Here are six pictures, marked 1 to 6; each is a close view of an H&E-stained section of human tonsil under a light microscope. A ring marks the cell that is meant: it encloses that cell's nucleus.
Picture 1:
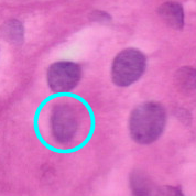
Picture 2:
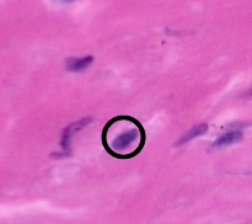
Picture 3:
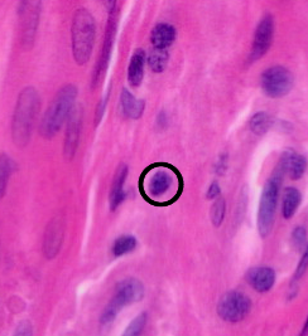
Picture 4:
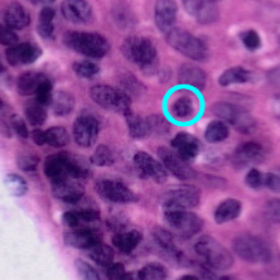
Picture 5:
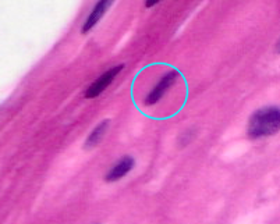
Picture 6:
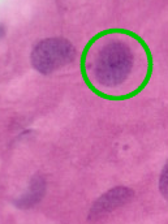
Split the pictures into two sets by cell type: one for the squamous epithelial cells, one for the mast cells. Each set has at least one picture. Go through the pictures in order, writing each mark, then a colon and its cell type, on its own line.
1: squamous epithelial cell
2: mast cell
3: mast cell
4: squamous epithelial cell
5: squamous epithelial cell
6: squamous epithelial cell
